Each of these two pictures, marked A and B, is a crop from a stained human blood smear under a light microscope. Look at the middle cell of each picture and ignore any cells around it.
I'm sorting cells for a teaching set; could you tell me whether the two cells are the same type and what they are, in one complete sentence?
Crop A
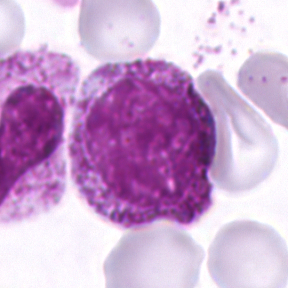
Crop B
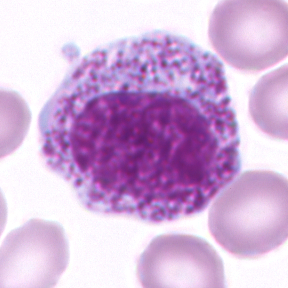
Yes, both crops show myelocytes, to put it briefly.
